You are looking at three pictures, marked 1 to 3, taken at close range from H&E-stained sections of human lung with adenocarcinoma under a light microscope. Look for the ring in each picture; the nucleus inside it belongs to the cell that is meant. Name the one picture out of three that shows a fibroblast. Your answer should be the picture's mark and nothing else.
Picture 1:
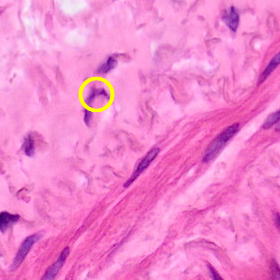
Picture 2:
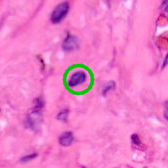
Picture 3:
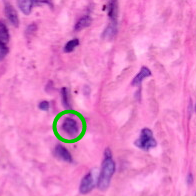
1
